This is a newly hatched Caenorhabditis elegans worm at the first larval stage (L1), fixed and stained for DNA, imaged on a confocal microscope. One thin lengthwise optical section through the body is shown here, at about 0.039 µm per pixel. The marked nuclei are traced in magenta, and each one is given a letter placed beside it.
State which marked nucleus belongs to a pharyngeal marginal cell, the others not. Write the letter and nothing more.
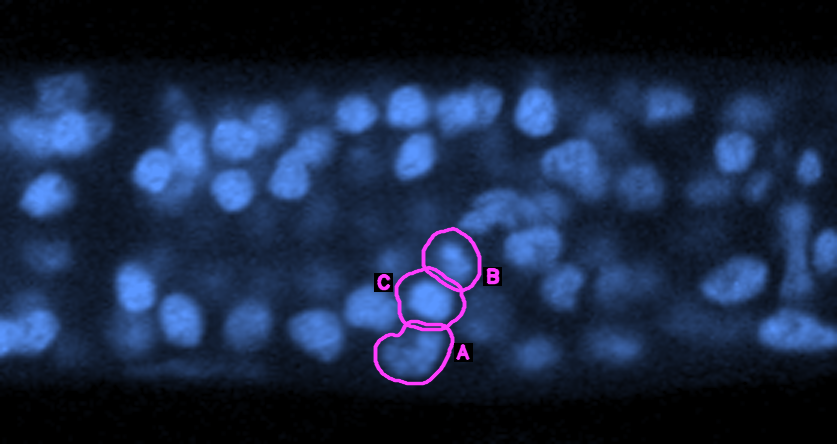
B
